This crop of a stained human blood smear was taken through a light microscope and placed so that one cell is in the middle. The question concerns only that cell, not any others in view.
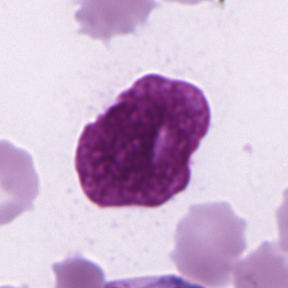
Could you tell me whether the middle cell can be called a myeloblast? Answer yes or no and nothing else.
no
